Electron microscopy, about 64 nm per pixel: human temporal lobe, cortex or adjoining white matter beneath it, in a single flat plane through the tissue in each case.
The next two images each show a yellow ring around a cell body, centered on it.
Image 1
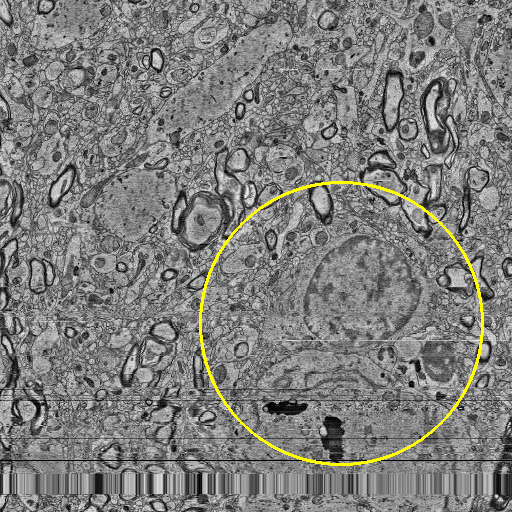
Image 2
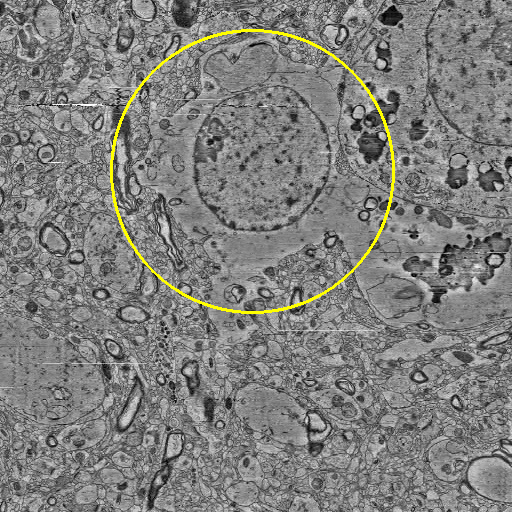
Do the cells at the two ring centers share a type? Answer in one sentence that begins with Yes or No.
No, across the two images the cells at the ring centers are of two types.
